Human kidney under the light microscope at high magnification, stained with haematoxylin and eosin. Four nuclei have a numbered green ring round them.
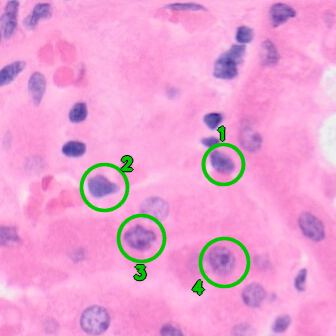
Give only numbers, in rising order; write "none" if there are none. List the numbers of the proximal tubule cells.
3, 4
